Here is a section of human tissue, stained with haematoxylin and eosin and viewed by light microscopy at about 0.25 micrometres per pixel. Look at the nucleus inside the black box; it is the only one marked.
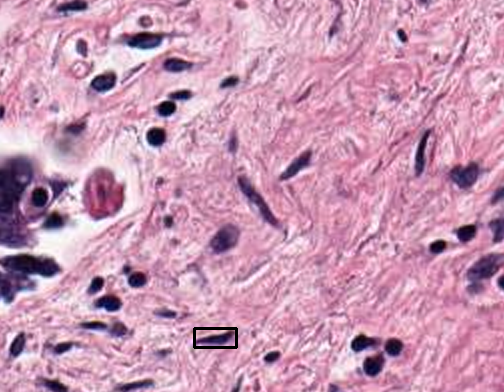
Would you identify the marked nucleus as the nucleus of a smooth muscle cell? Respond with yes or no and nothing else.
no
